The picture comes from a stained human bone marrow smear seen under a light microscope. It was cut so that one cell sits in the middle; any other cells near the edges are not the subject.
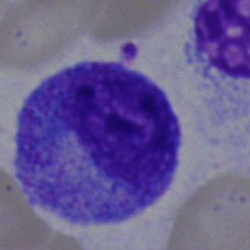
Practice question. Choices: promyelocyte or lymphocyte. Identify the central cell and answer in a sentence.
In this crop, the cell at the very middle is a promyelocyte.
